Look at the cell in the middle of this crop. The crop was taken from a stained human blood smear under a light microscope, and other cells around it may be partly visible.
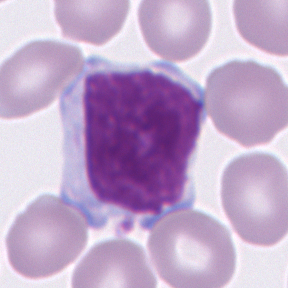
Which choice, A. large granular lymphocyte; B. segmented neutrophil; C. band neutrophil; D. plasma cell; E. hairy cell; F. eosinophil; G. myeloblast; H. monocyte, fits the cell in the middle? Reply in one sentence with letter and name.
Option A is the right one, for the cell in the middle is a large granular lymphocyte.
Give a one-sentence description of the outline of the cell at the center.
The cell is outlined unevenly, the border being ragged or extended into projections.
